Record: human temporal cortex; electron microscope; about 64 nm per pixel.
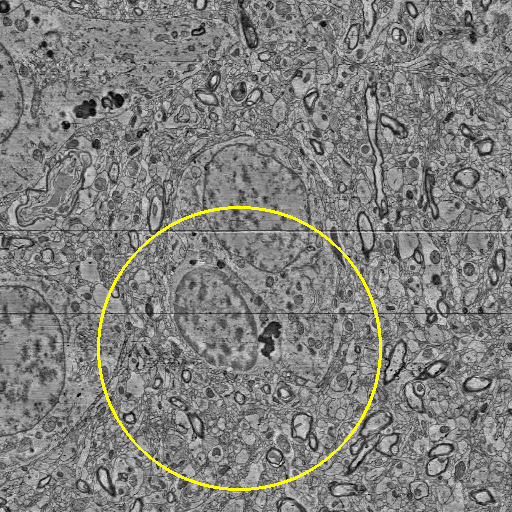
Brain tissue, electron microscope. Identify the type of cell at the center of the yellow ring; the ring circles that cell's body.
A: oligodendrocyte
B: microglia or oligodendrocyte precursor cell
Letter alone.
A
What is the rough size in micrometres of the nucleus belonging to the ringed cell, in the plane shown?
The nucleus appears roughly 7 by 5 micrometres in this plane.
